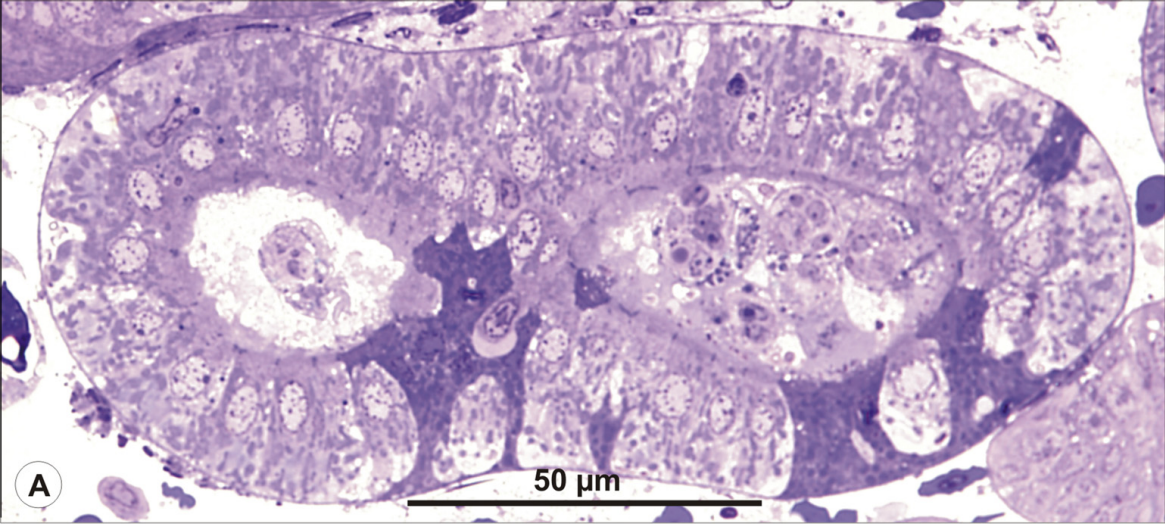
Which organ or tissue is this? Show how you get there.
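The tube is enclosed by a thin basement membrane and surrounded by other tubule profiles.
Answer: renal tubule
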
